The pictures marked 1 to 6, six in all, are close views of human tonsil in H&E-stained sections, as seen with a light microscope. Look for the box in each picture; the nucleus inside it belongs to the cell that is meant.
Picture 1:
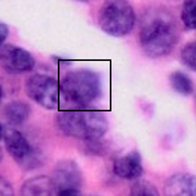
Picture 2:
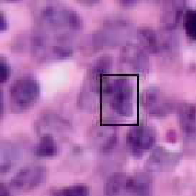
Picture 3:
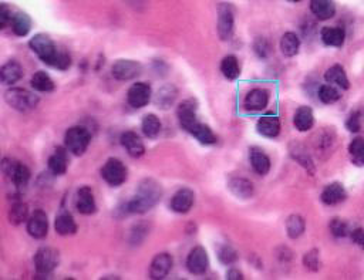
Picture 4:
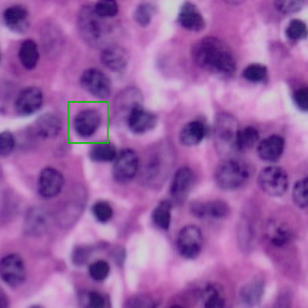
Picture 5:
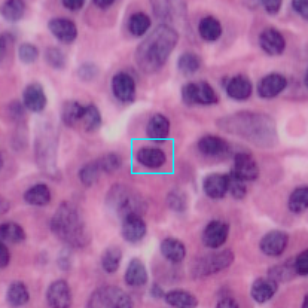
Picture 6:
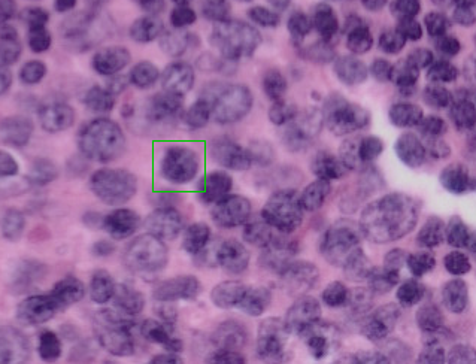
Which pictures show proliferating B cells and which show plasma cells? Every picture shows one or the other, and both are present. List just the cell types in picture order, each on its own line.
proliferating B cell
proliferating B cell
plasma cell
plasma cell
plasma cell
proliferating B cell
